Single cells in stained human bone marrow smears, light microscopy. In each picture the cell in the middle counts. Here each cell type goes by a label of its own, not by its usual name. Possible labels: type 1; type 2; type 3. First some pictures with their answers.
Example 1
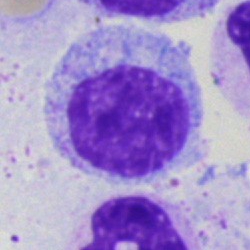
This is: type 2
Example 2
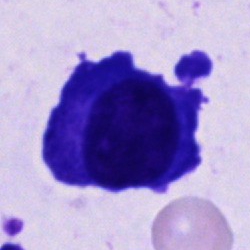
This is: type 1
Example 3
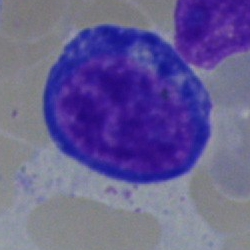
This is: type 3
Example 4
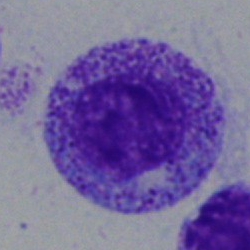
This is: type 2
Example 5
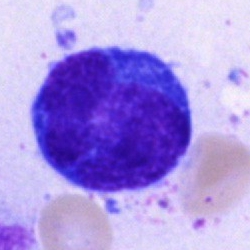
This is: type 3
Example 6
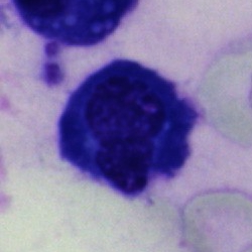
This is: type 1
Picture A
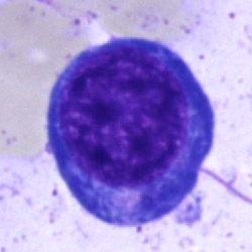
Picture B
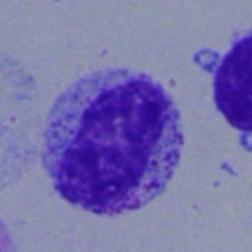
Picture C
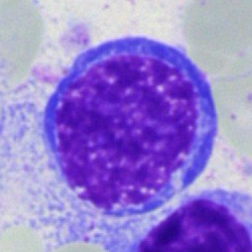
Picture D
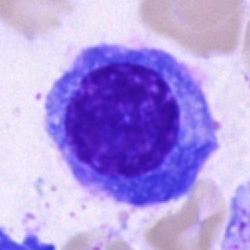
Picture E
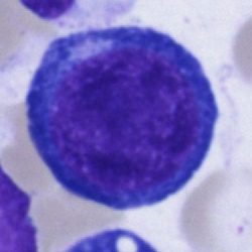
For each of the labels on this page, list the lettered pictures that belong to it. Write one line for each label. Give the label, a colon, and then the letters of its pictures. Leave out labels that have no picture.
type 1: D
type 2: B
type 3: A, C, E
